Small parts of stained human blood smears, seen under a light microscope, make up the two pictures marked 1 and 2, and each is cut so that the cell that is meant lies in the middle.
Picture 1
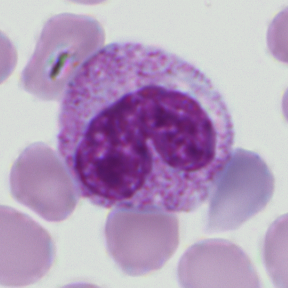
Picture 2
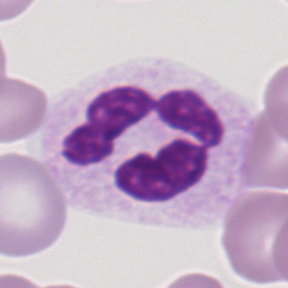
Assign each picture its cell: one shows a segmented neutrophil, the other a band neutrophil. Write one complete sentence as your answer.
The cell in picture 1 is a band neutrophil, and the one in picture 2 is a segmented neutrophil.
